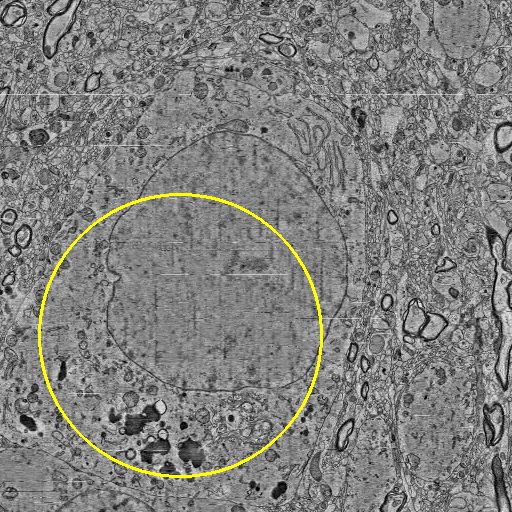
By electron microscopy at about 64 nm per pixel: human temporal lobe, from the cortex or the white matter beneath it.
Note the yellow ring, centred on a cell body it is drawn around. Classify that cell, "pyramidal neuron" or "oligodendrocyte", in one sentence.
The cell the ring is centred on is a pyramidal neuron.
